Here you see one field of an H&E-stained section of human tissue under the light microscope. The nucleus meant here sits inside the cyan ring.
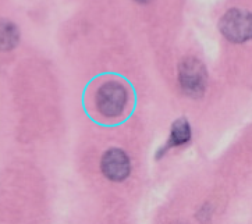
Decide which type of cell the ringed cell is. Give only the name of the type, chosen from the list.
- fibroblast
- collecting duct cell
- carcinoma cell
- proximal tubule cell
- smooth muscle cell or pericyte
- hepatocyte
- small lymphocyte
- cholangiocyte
proximal tubule cell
